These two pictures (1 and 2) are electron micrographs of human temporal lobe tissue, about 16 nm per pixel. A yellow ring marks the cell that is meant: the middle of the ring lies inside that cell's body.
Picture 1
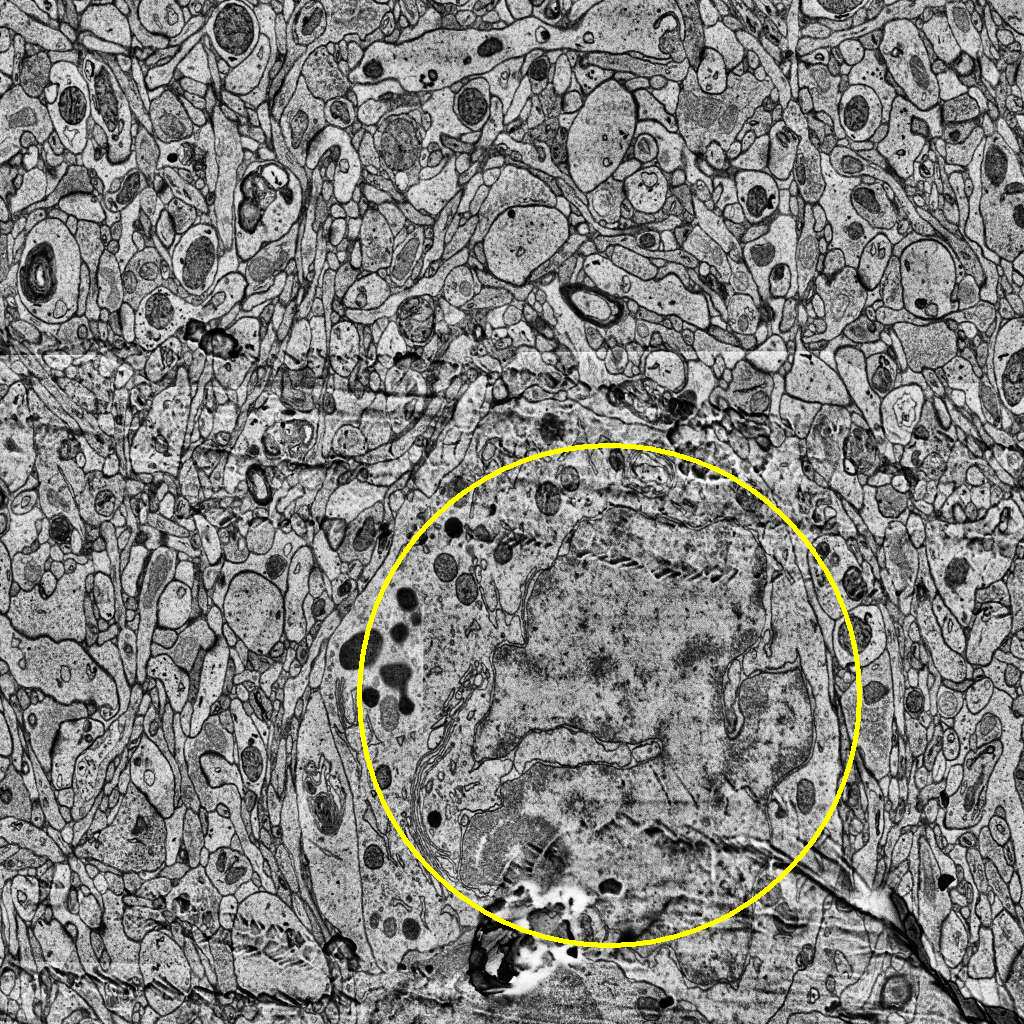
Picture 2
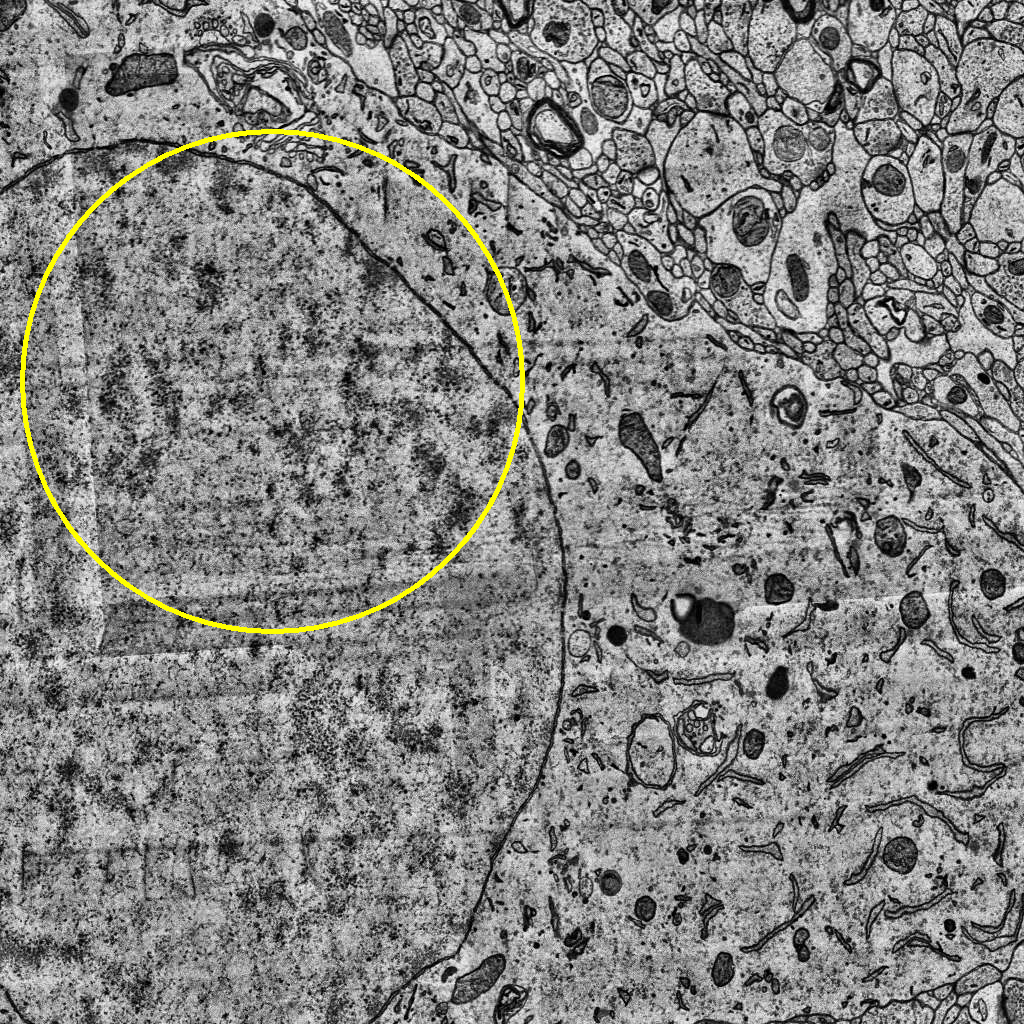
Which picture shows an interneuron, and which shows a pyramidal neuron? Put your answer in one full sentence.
In picture 1 the cell is an interneuron; in picture 2, a pyramidal neuron.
